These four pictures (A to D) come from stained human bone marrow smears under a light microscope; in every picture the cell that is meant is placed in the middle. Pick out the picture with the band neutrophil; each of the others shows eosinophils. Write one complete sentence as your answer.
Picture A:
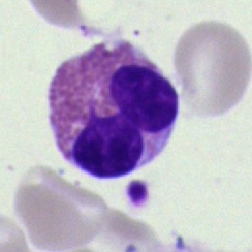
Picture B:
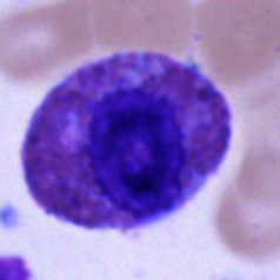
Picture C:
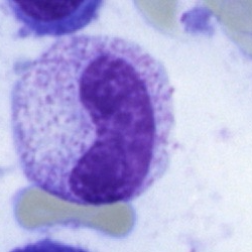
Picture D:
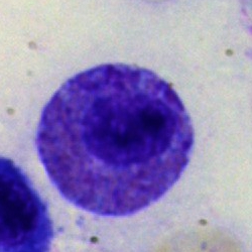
The band neutrophil is the one in picture C.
